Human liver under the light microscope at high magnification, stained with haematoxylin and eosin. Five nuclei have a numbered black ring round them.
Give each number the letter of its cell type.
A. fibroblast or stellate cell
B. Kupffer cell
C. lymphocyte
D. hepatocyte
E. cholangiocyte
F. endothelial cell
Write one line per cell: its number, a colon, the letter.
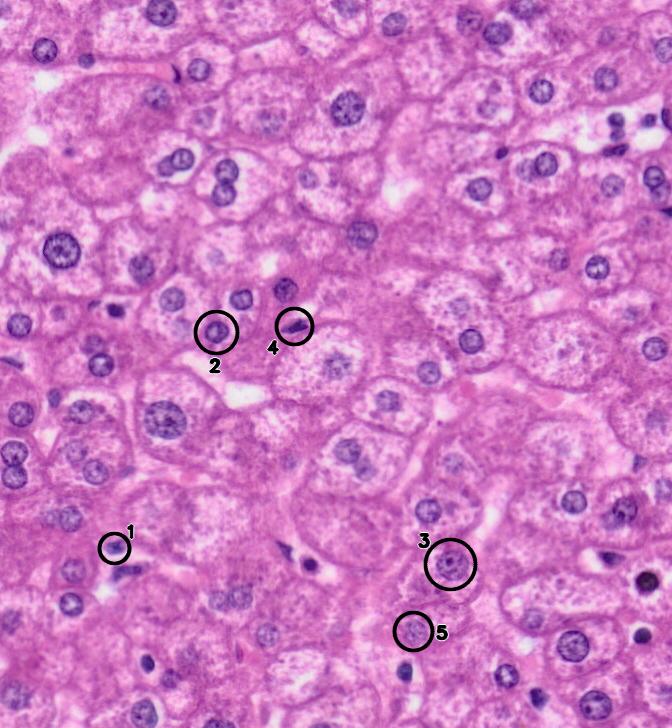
1: C
2: D
3: D
4: F
5: D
